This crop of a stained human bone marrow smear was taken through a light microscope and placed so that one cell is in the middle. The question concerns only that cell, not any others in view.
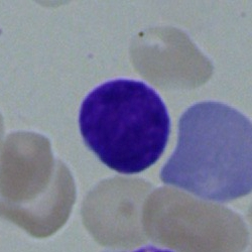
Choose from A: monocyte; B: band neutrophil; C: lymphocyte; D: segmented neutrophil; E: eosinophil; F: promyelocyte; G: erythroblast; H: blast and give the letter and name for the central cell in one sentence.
The central cell in this crop is a lymphocyte, corresponding to option C, the correct option.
